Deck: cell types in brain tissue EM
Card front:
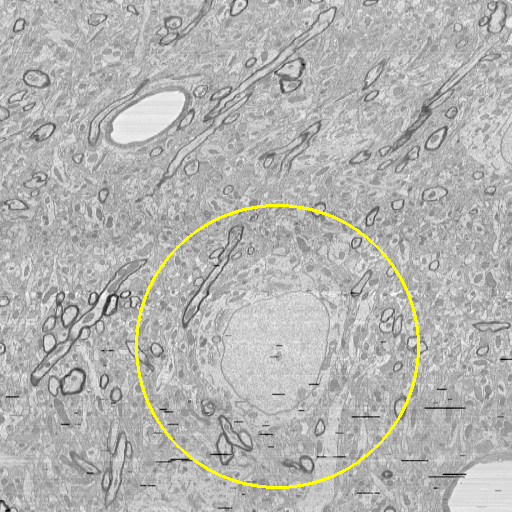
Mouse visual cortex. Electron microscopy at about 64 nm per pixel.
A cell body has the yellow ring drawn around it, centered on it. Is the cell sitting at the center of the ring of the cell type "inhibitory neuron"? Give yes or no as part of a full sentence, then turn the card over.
No, on this card the yellow ring is centered on a cell of a different type.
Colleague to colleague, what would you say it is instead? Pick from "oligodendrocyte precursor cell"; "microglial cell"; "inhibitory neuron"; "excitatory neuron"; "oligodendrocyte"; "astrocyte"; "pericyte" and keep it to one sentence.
Instead, the ringed cell here is an excitatory neuron.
